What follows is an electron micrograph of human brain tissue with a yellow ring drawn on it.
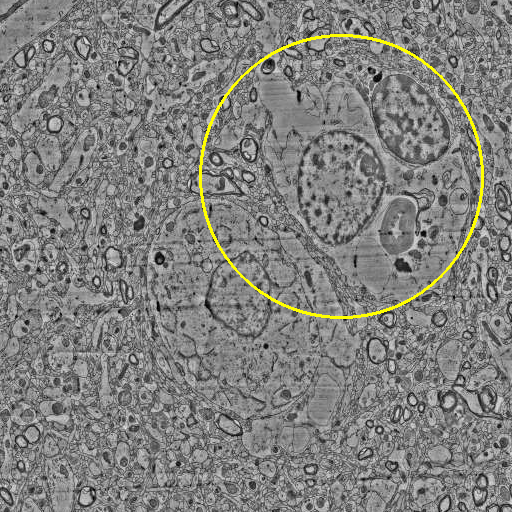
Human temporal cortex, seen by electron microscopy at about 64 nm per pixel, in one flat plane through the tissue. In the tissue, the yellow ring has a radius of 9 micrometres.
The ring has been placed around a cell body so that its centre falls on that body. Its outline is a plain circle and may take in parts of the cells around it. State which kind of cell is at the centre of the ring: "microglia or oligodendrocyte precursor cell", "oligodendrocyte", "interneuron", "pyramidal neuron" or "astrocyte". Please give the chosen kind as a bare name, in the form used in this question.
astrocyte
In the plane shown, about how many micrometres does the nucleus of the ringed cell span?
About 7 micrometres by about 6 micrometres in this plane.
